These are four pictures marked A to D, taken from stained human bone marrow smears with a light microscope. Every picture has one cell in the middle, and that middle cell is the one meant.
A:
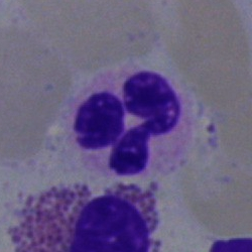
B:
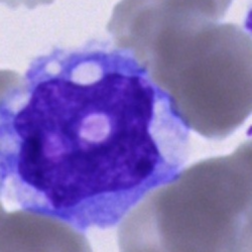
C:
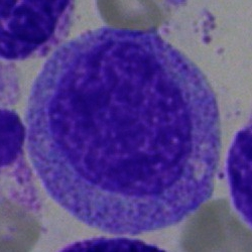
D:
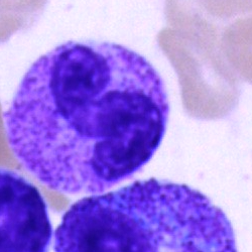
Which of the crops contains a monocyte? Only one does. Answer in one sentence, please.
The one showing a monocyte is crop B.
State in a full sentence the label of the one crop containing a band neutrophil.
Of the crops given, a band neutrophil is found in crop D.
